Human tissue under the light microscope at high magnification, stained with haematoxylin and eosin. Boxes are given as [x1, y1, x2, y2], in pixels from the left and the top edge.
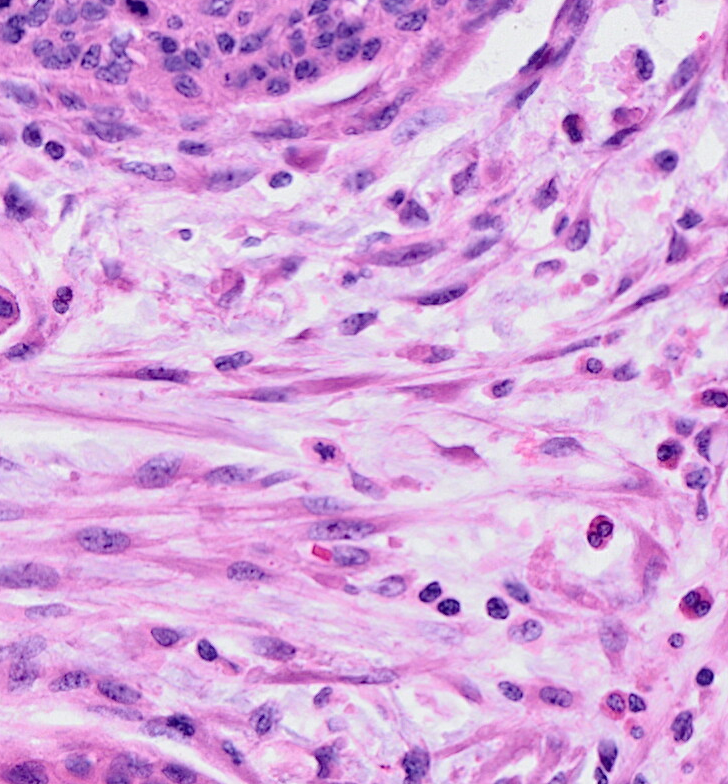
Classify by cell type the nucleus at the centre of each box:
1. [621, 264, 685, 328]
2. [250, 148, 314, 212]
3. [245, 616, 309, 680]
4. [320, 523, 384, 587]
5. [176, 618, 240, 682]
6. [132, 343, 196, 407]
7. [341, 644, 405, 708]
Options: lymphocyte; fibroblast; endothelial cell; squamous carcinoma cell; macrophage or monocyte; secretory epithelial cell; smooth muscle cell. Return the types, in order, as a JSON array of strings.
["fibroblast", "lymphocyte", "fibroblast", "endothelial cell", "lymphocyte", "fibroblast", "fibroblast"]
